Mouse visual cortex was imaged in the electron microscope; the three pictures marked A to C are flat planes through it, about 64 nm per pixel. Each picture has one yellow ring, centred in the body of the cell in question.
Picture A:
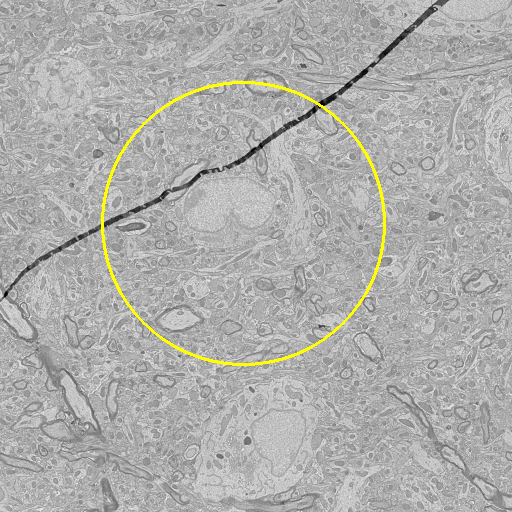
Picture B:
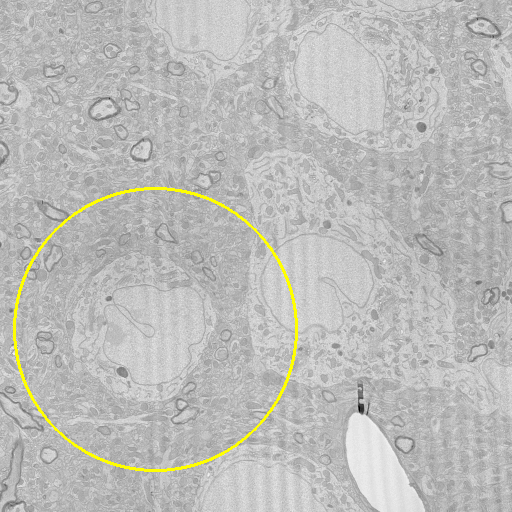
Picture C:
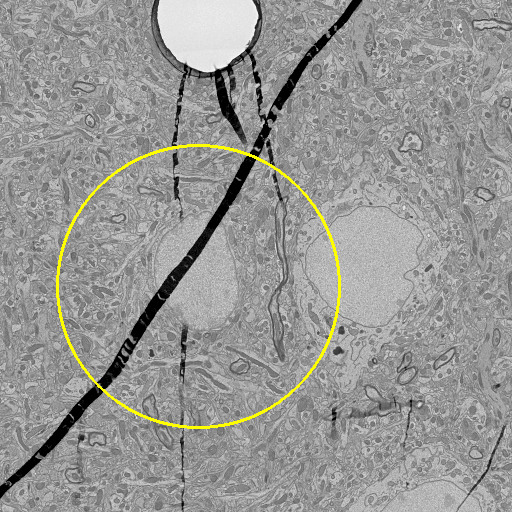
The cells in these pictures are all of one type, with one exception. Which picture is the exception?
The different one is picture B; it shows an excitatory neuron, whereas all the others show astrocytes.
